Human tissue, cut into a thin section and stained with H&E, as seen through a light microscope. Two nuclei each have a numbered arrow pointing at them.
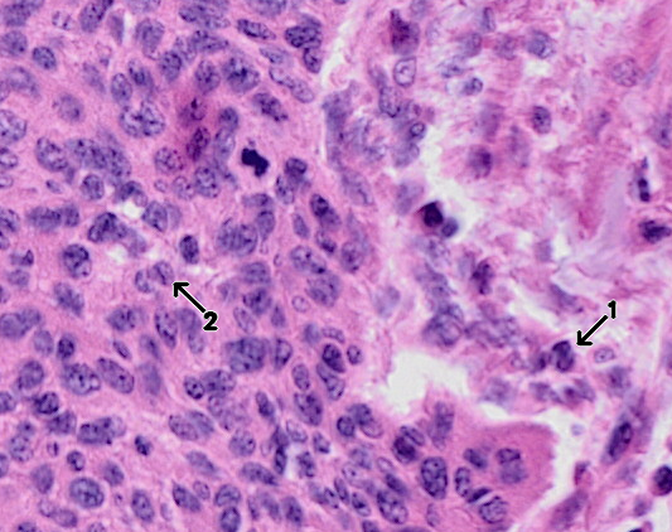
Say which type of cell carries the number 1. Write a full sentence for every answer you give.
As for number 1, that cell is a lymphocyte.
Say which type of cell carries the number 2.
The nucleus labelled 2 belongs to a squamous carcinoma cell.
